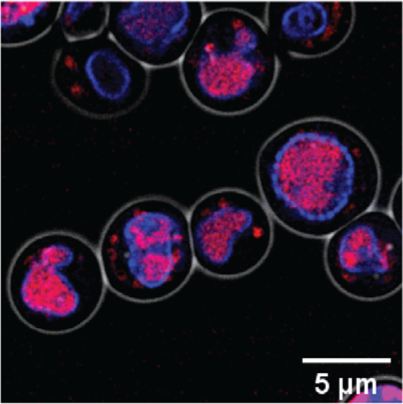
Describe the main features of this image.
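Round single cells with grey outlines, several touching one another, each holding a large central vacuole bounded by a blue membrane. In most cells the vacuole lumen is filled with a diffuse, finely granular red fluorescence, so the vacuoles appear pink-red, while only a few small red dots remain in the thin rim of cytoplasm outside. A few cells show a blue ring with a dark interior.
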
